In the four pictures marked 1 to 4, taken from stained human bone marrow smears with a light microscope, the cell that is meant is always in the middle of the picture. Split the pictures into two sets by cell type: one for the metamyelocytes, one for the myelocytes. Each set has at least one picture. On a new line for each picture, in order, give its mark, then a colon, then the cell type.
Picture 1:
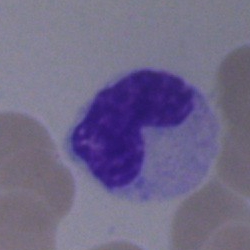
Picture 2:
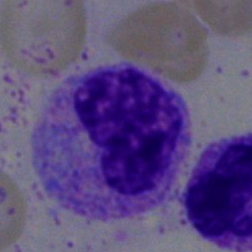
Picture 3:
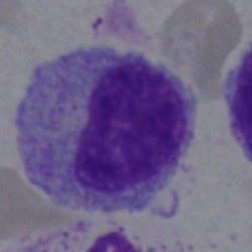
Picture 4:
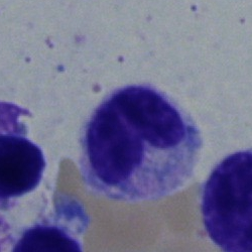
1: metamyelocyte
2: metamyelocyte
3: myelocyte
4: metamyelocyte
